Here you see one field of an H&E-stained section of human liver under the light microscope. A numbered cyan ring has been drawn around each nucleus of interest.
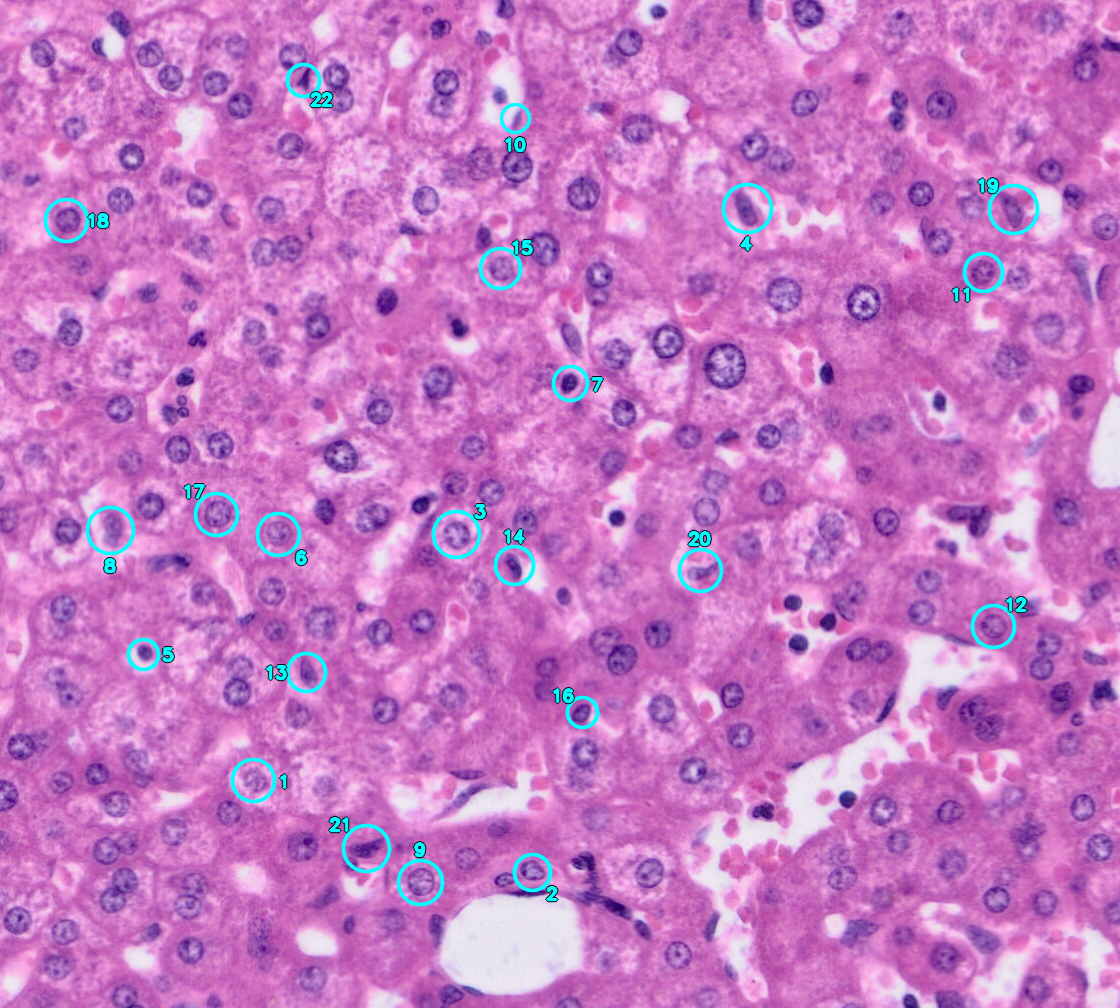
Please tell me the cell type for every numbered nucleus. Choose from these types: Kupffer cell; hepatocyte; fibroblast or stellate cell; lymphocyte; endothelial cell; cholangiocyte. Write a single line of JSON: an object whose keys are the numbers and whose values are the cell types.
{"1": "hepatocyte", "2": "cholangiocyte", "3": "hepatocyte", "4": "Kupffer cell", "5": "lymphocyte", "6": "hepatocyte", "7": "lymphocyte", "8": "Kupffer cell", "9": "hepatocyte", "10": "endothelial cell", "11": "hepatocyte", "12": "hepatocyte", "13": "Kupffer cell", "14": "endothelial cell", "15": "hepatocyte", "16": "fibroblast or stellate cell", "17": "hepatocyte", "18": "hepatocyte", "19": "Kupffer cell", "20": "endothelial cell", "21": "fibroblast or stellate cell", "22": "fibroblast or stellate cell"}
